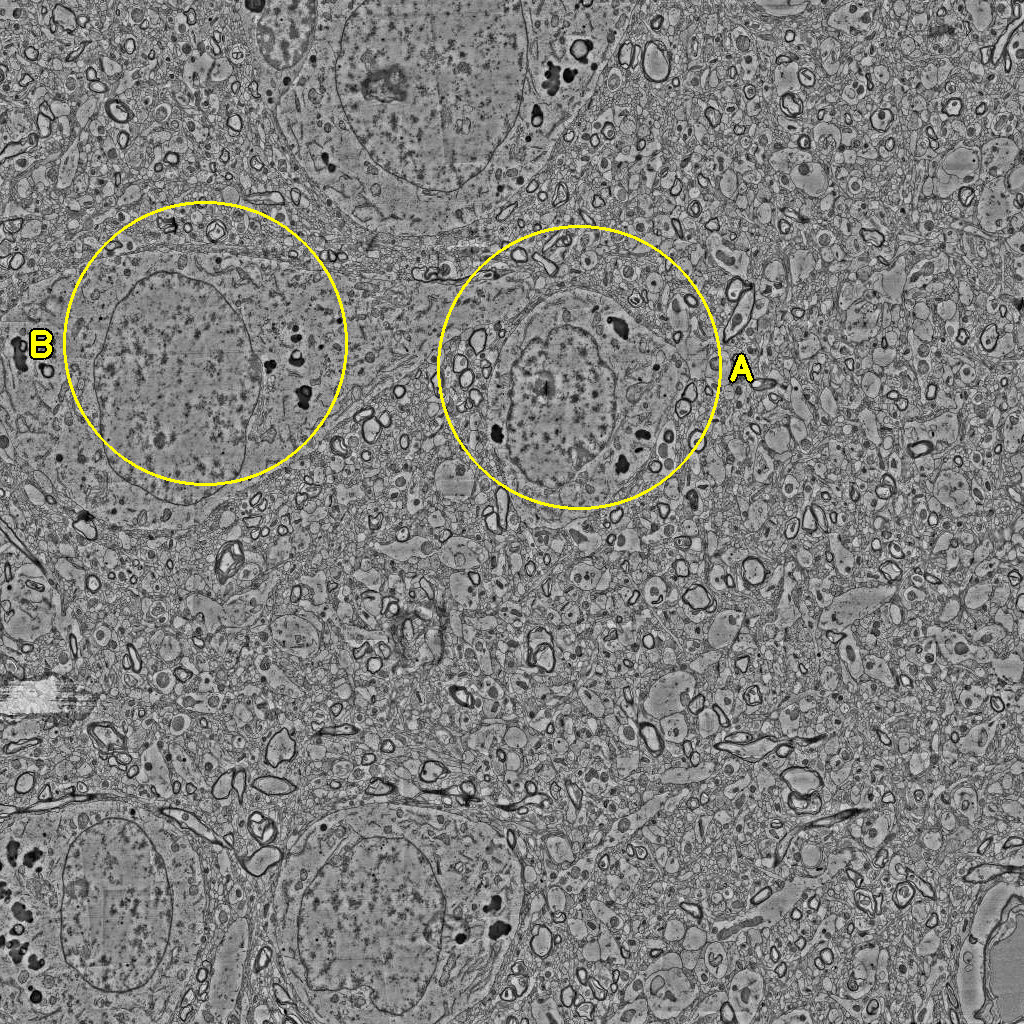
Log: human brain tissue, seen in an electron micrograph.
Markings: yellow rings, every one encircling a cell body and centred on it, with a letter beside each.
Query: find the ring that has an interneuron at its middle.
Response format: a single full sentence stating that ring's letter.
The letter A marks the ring centred on the cell asked for in the image.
